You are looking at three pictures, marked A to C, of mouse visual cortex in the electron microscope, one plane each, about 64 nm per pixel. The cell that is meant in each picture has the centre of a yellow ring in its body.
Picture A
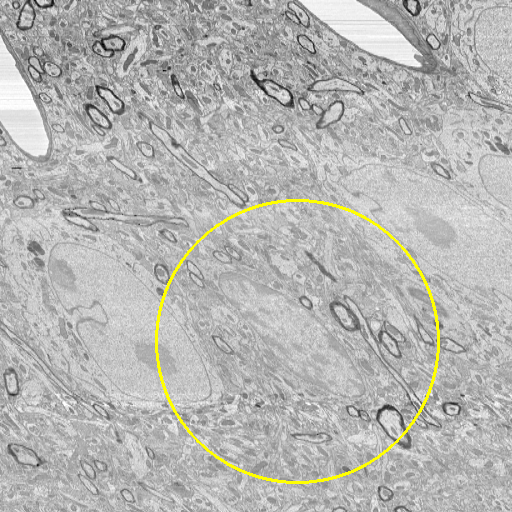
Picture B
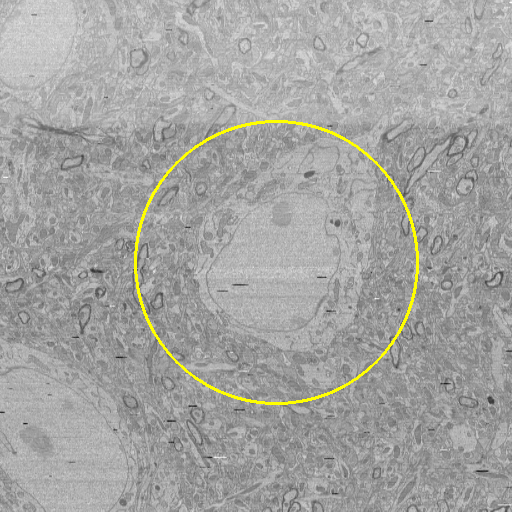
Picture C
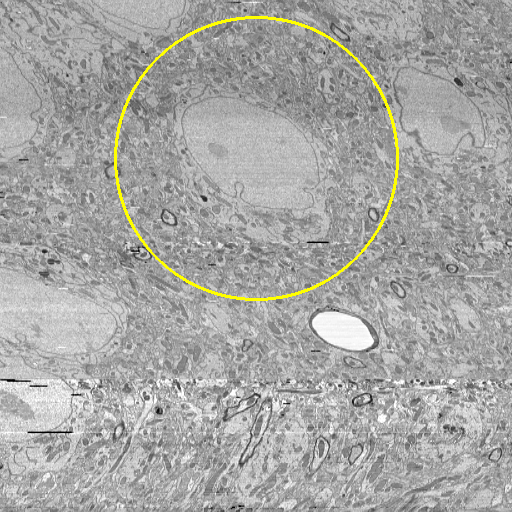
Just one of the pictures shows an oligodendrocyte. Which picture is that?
The picture with the oligodendrocyte is A.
